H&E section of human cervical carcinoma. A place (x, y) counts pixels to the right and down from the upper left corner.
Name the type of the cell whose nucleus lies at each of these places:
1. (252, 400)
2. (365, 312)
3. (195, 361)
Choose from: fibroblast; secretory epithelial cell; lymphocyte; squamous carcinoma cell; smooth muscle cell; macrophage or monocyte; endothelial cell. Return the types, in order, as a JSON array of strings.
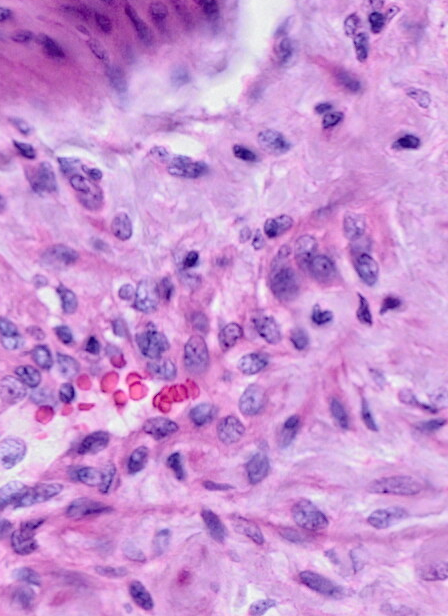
["endothelial cell", "lymphocyte", "endothelial cell"]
